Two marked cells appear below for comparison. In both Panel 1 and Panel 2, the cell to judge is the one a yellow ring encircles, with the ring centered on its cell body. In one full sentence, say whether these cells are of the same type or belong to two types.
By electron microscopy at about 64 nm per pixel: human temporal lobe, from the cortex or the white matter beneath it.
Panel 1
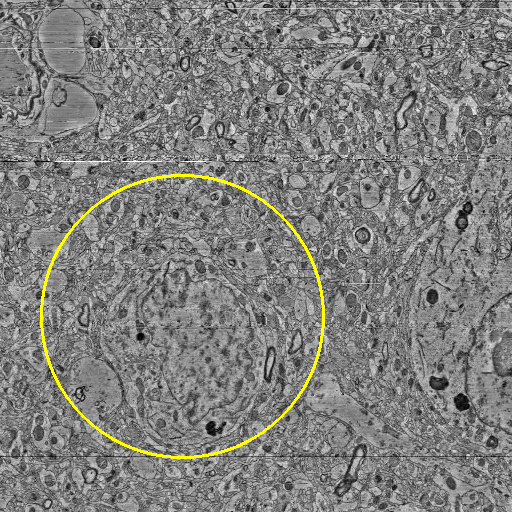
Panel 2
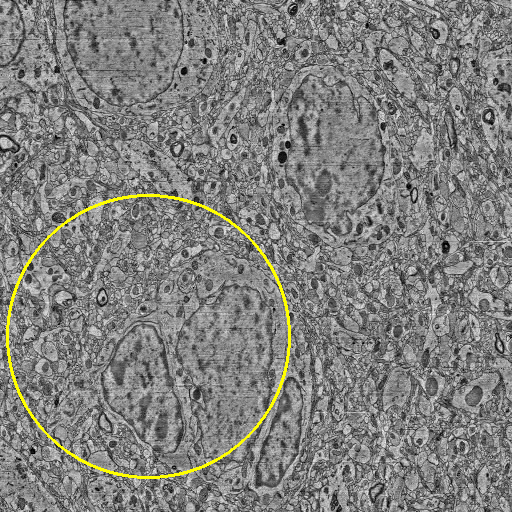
The cell centered in the Panel 1 ring and the one in Panel 2 belong to two types.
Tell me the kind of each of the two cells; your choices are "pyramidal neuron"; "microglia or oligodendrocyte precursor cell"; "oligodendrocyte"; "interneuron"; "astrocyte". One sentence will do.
The ringed cell is an interneuron in the first picture and a microglial cell or oligodendrocyte precursor cell in the second picture.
